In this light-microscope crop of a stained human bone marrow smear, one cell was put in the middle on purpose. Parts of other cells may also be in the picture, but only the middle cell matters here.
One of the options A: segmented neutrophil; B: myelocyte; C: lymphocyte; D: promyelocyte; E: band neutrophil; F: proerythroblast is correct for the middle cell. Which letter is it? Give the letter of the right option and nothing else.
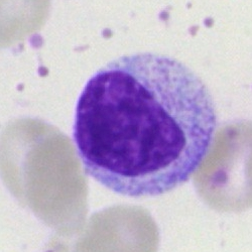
B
